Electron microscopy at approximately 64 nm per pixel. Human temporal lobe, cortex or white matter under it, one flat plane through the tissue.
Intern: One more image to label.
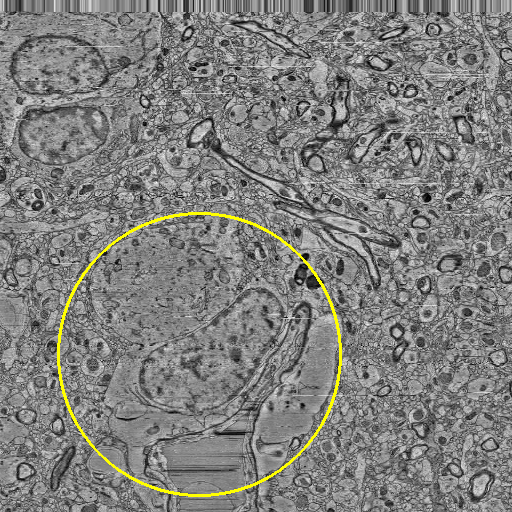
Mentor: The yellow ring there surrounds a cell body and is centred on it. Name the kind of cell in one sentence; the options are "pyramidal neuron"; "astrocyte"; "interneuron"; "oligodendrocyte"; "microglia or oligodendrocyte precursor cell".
The ring marks the cell body of a microglial cell or oligodendrocyte precursor cell.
